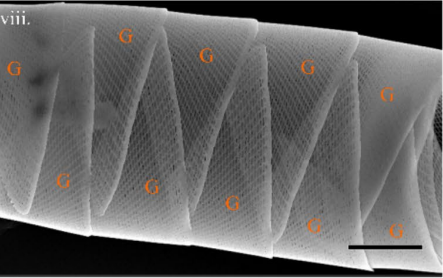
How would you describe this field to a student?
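This is a scanning electron micrograph of part of a diatom frustule, showing the long cylindrical wall of the cell. The wall is built from many girdle bands that overlap like scales. The bands are shaped like wedges or rhombs and fit together in a zig-zag pattern along the length of the cylinder. Each band is covered by a fine, regular lattice of tiny pores that gives the surface a striated texture.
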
